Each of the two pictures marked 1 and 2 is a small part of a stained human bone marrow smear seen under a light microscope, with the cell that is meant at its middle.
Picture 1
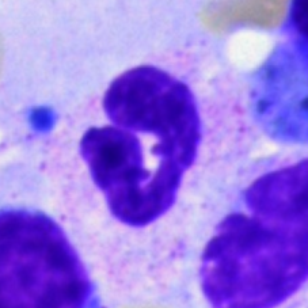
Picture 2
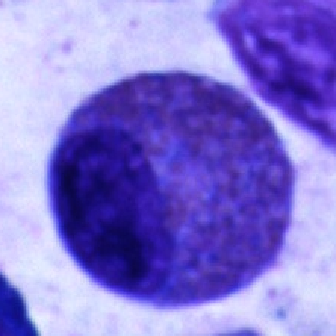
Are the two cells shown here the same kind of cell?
no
